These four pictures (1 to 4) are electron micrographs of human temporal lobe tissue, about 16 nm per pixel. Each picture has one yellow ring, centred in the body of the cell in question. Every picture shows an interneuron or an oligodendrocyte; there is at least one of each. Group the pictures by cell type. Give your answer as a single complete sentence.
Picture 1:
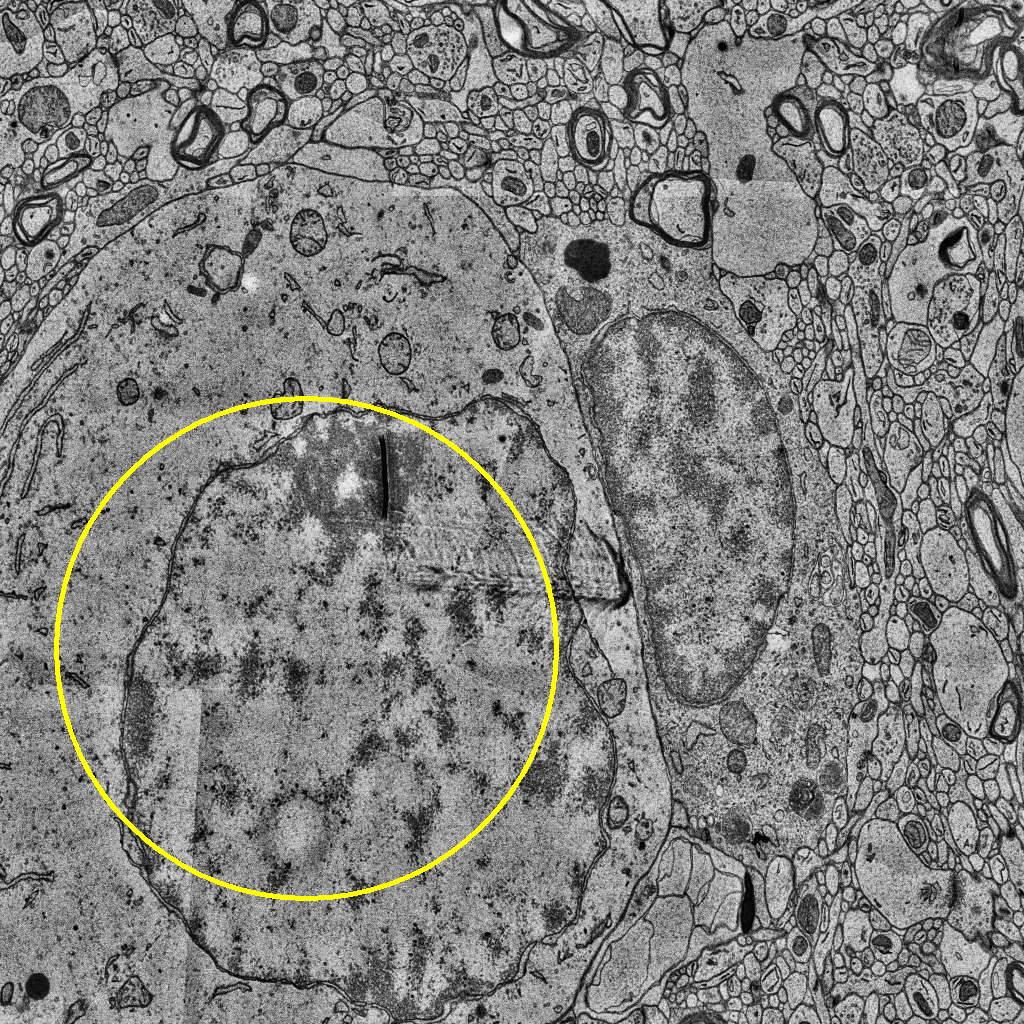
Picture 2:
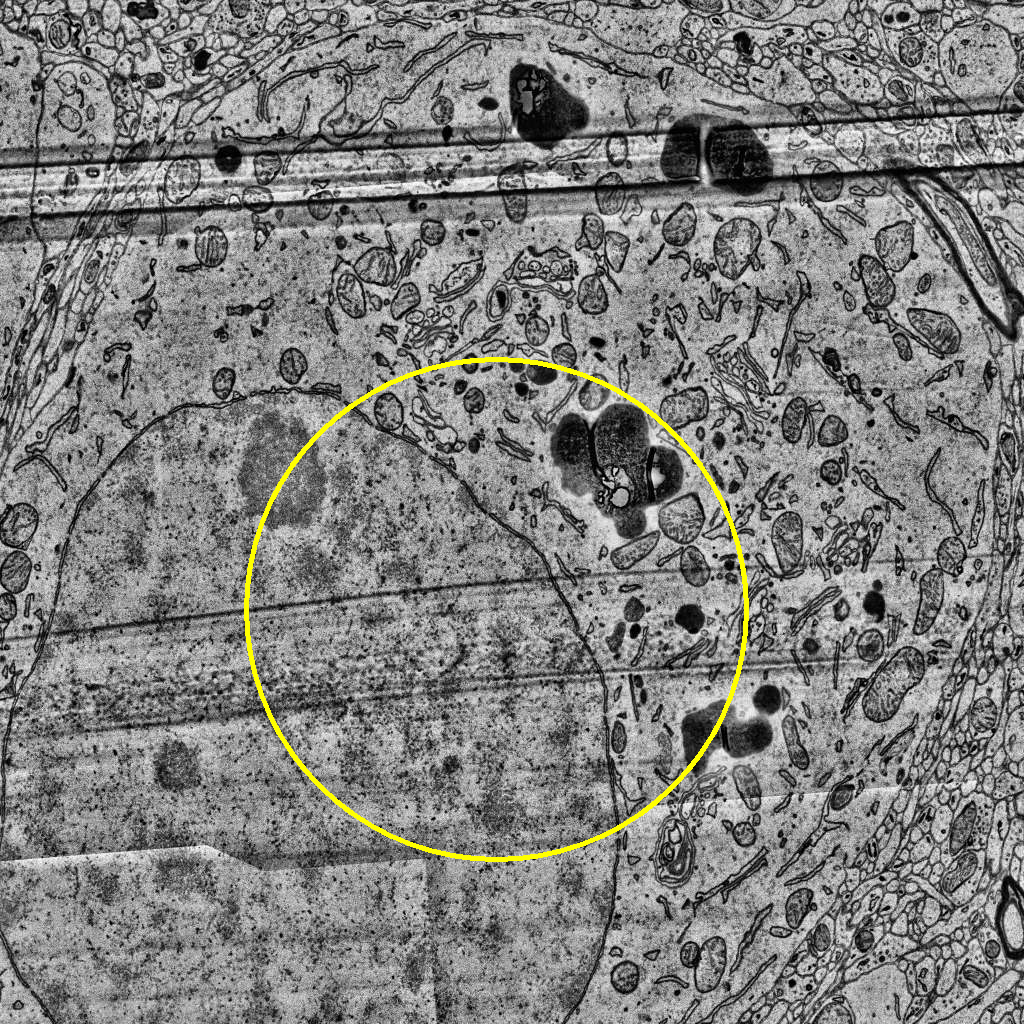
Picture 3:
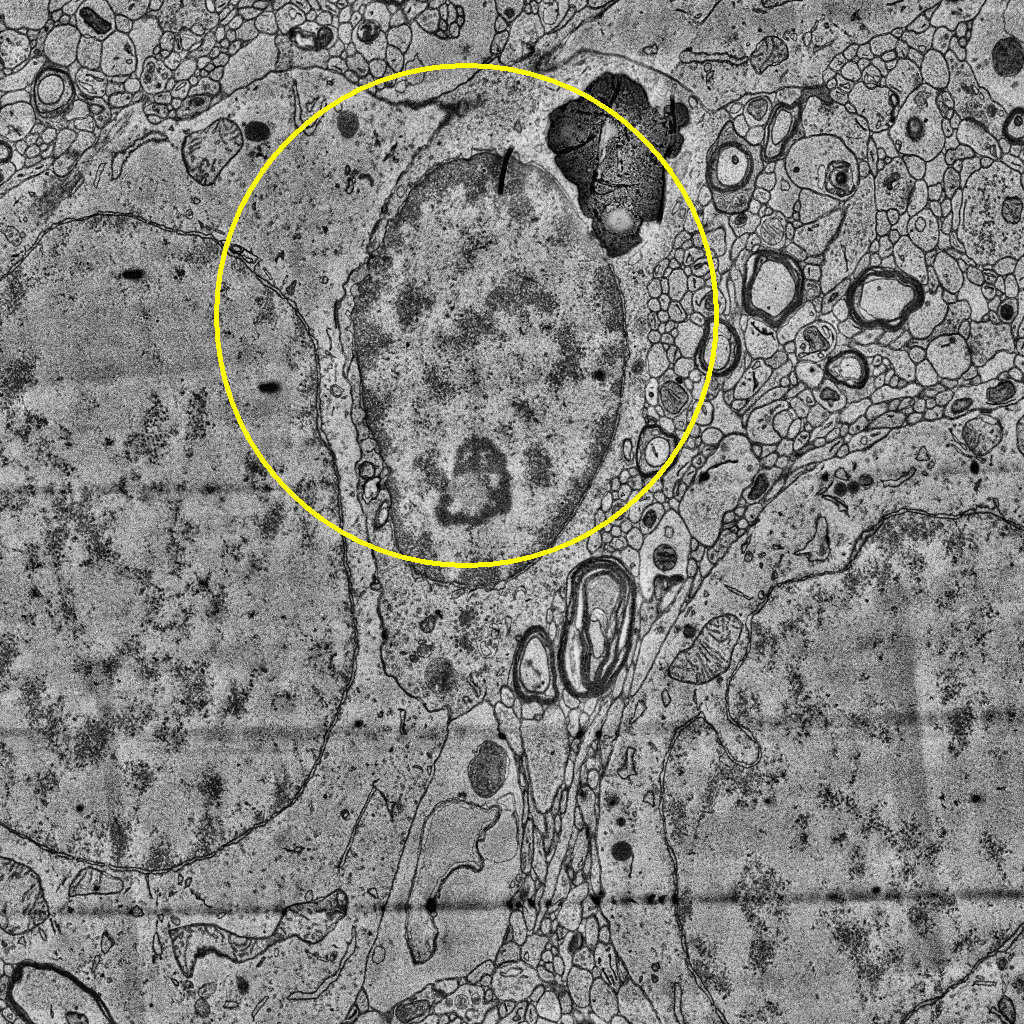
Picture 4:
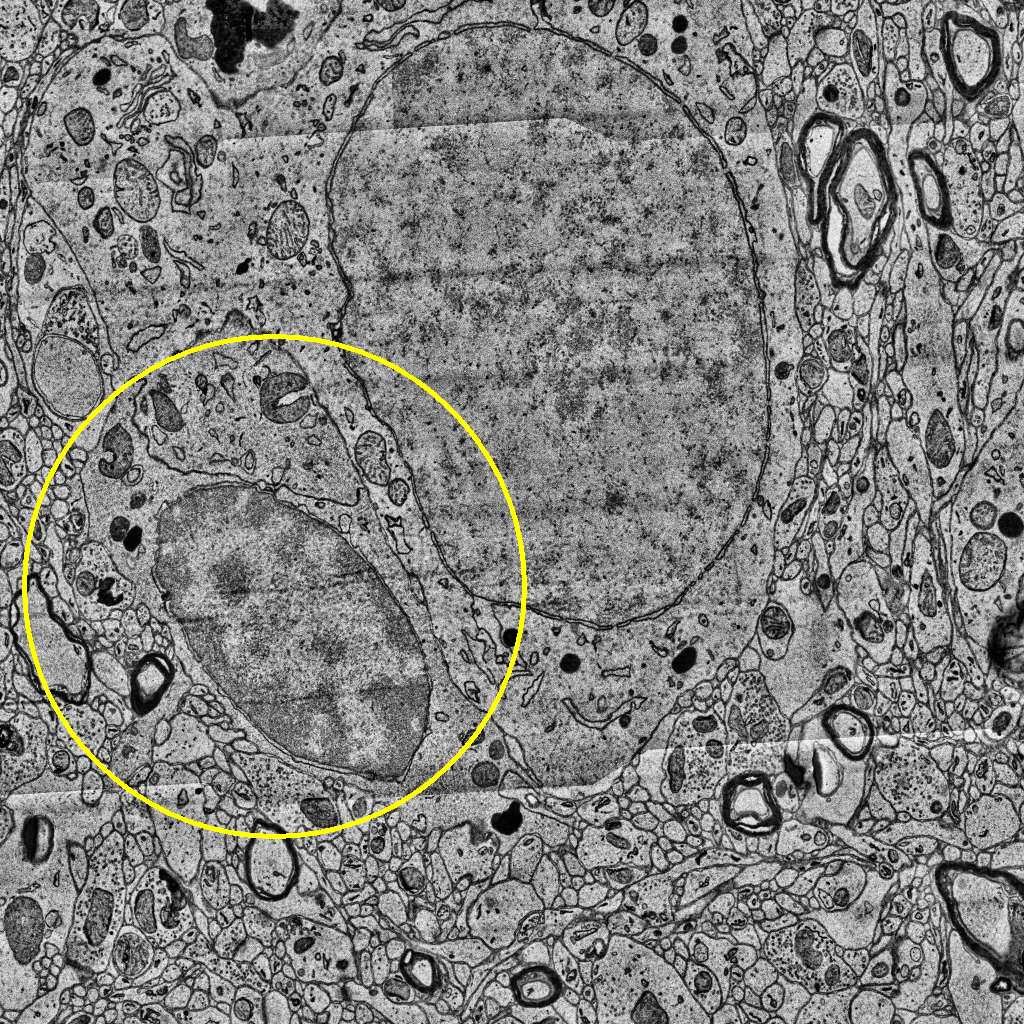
Pictures 1 and 2 show interneurons; pictures 3 and 4 show oligodendrocytes.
